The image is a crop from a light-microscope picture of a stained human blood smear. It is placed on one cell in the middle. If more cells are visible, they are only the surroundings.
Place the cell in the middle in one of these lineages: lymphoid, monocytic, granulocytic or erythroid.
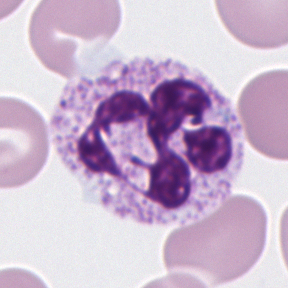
granulocytic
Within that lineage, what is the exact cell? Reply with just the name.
segmented neutrophil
